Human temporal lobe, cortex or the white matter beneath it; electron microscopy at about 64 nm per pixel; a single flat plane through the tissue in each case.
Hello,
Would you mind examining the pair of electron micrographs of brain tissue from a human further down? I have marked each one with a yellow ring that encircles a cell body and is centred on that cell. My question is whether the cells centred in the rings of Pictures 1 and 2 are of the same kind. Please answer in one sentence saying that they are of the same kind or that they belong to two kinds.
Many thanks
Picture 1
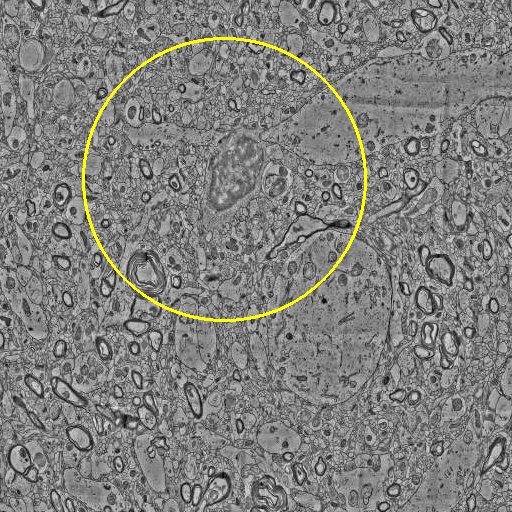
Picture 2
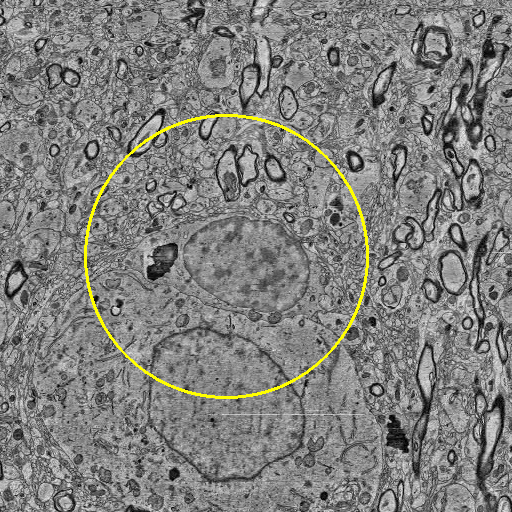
In Pictures 1 and 2, the cells at the heart of the rings are of the same kind.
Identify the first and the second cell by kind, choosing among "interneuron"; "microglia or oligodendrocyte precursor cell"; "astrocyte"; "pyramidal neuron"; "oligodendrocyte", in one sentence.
Each one of the two ringed cells is an oligodendrocyte.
